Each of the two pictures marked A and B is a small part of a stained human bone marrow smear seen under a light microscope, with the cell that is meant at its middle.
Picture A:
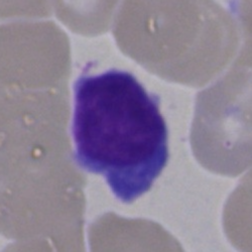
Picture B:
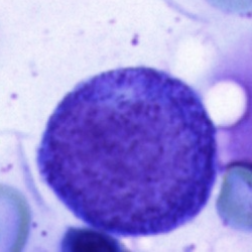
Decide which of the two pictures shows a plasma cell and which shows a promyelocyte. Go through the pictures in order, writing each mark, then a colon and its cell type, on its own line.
A: plasma cell
B: promyelocyte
